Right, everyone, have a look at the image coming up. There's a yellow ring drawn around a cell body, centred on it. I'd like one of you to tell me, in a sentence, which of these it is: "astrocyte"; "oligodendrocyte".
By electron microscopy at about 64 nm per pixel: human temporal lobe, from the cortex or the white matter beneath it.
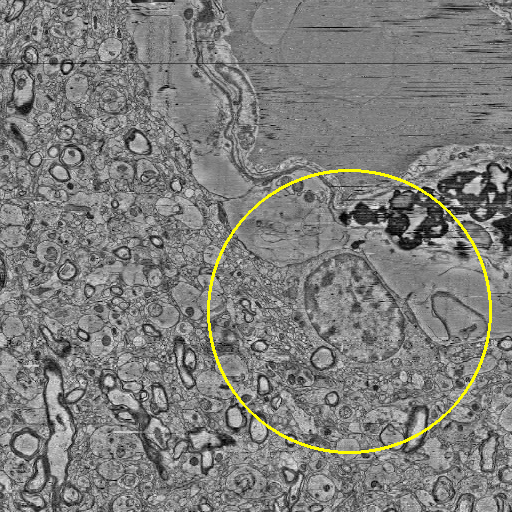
The yellow ring sits on an oligodendrocyte.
